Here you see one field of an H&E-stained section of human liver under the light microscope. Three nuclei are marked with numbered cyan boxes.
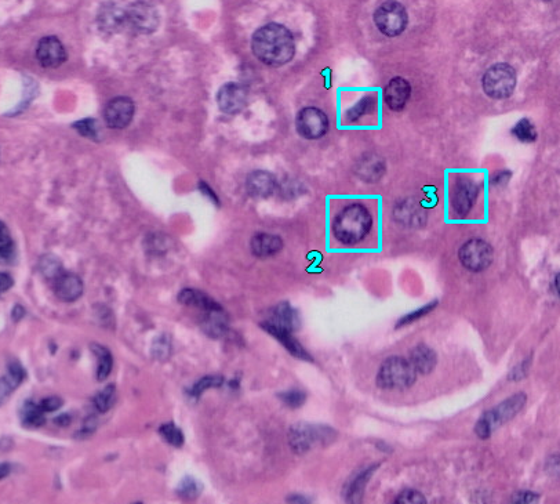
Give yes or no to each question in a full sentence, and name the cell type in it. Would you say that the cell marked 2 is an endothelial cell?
No, the cell numbered 2 is a hepatocyte rather than an endothelial cell.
